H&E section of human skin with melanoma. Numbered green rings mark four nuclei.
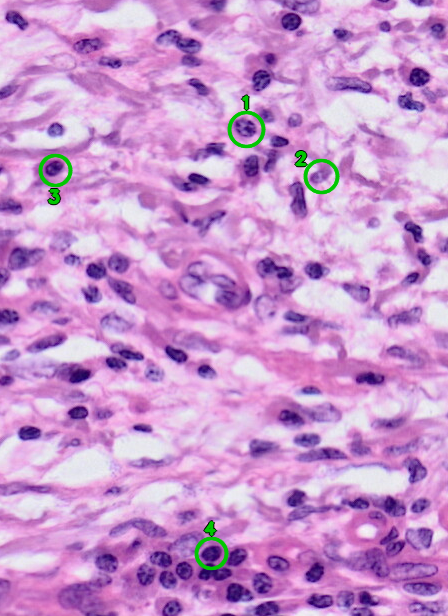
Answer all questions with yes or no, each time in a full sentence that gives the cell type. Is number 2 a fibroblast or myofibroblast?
Yes, among the marked cells, the one with number 2 is a fibroblast or myofibroblast.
